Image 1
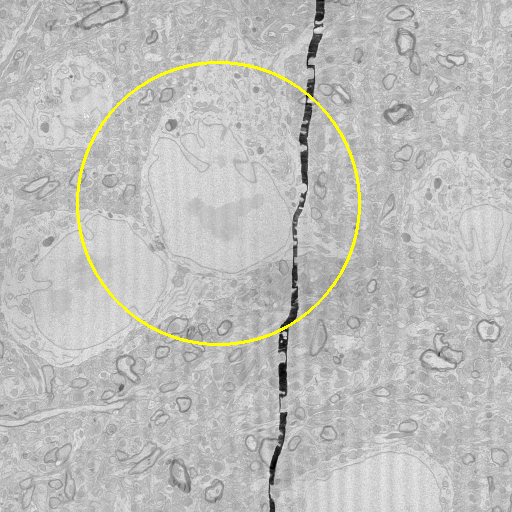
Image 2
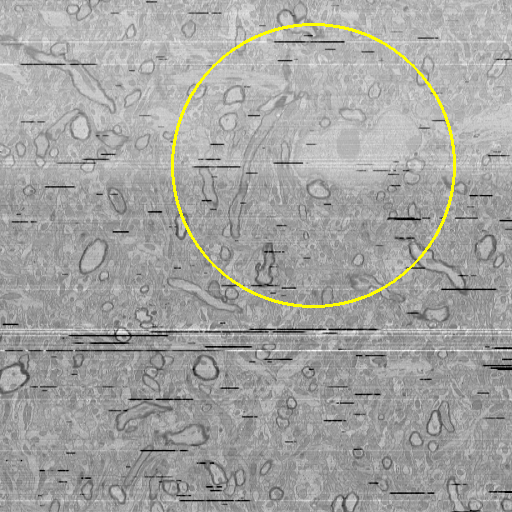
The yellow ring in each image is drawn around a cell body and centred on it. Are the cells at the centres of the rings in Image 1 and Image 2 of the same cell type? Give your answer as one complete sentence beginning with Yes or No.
No, the two cells are of two separate types.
